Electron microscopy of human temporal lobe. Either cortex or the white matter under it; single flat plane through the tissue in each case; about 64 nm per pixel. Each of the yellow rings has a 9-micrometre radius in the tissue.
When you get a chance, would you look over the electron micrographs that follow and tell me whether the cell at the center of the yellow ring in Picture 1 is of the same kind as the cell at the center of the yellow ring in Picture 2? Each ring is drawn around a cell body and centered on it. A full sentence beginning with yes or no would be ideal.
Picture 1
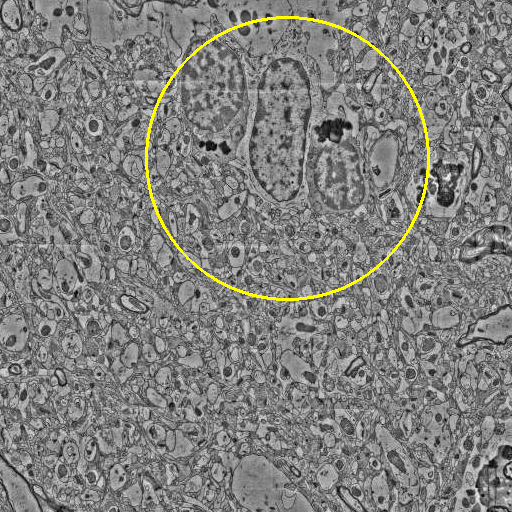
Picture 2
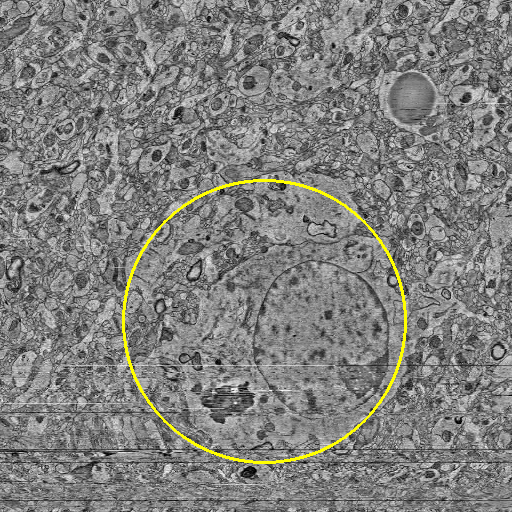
No, they are two kinds of cell.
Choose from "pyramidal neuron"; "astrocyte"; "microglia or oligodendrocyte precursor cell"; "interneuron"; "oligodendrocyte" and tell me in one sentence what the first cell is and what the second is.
What the first ring is centred on is a microglial cell or oligodendrocyte precursor cell; what the second ring is centred on is an astrocyte.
